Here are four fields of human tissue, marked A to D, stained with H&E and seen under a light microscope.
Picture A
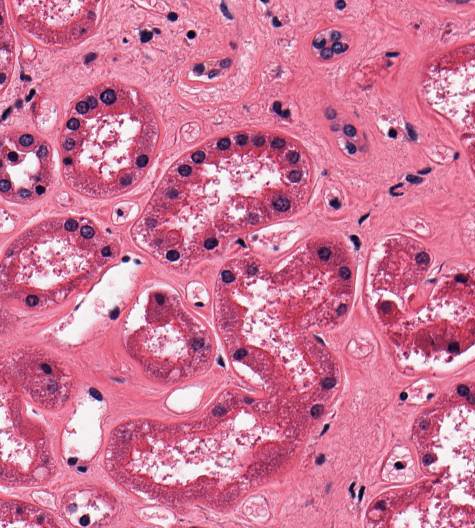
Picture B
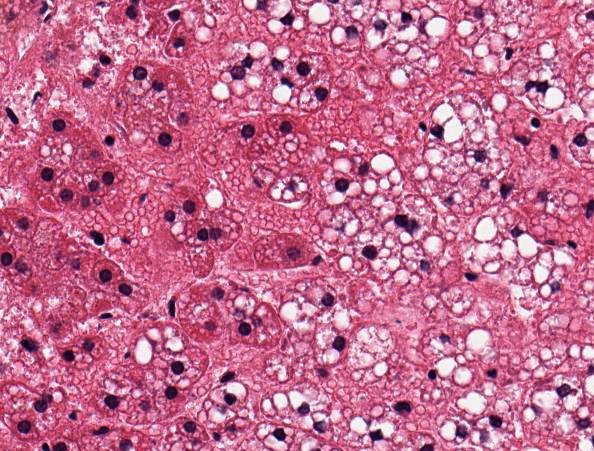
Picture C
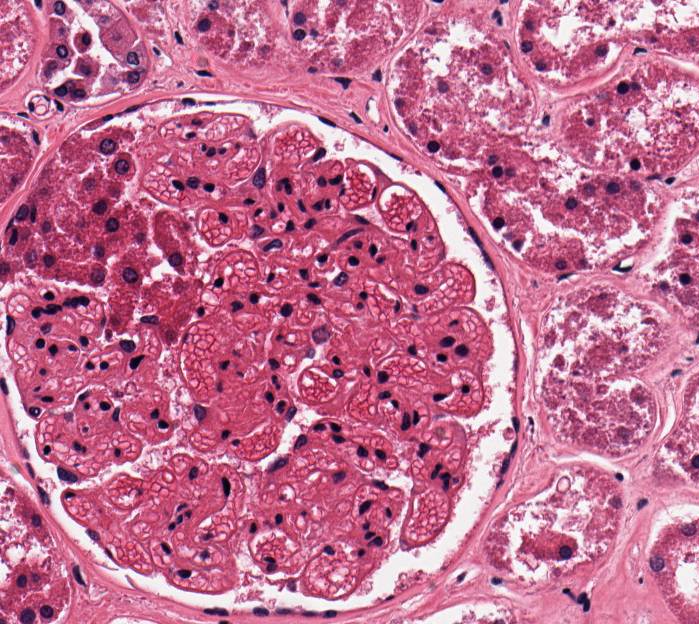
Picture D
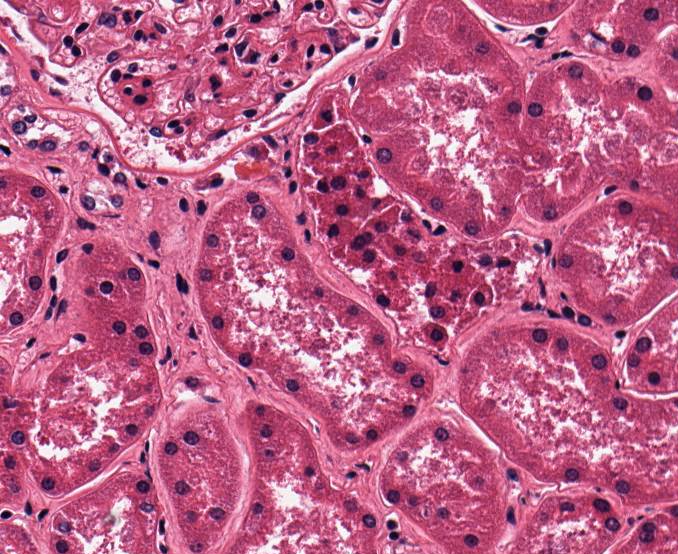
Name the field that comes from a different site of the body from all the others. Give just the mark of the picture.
B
